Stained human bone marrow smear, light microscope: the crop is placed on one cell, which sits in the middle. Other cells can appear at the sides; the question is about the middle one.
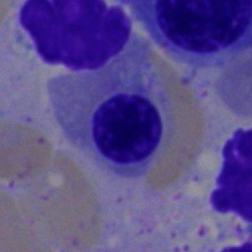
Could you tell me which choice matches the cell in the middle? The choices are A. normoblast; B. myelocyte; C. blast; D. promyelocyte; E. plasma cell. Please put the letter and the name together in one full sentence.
As the central cell is a normoblast, option A is correct.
